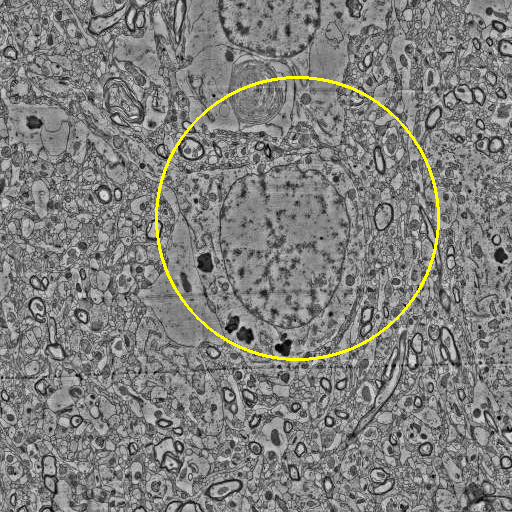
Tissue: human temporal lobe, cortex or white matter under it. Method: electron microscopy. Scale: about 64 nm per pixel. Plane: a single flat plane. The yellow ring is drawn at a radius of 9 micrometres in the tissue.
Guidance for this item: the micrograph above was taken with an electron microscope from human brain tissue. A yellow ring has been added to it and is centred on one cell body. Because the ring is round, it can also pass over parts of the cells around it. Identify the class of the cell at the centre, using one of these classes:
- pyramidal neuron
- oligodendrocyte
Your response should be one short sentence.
The ring surrounds the body of a pyramidal neuron.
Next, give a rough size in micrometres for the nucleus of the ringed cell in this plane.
Approximately 11 by 8 micrometers in this plane.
